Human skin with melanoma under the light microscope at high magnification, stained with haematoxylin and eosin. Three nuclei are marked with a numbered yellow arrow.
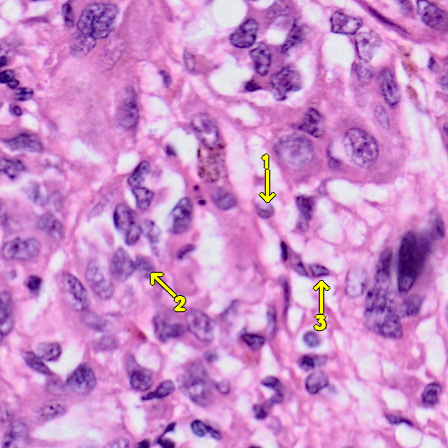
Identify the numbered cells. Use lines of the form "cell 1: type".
cell 1: macrophage or monocyte
cell 2: melanoma cell
cell 3: macrophage or monocyte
